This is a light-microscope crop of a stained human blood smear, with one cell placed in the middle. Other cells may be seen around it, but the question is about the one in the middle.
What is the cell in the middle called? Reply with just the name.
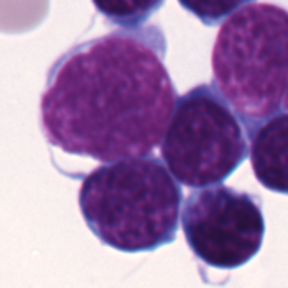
myeloblast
